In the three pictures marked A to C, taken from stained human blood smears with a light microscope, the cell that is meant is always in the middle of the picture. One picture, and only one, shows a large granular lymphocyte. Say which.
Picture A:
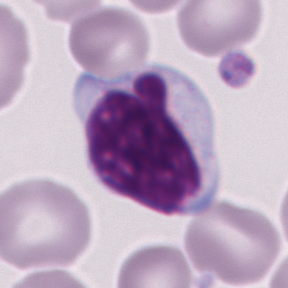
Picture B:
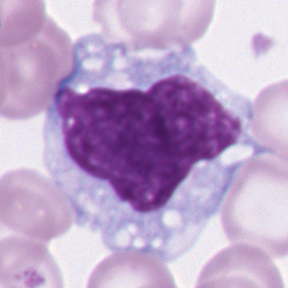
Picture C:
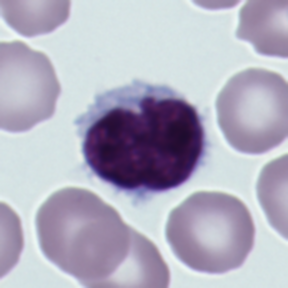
A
